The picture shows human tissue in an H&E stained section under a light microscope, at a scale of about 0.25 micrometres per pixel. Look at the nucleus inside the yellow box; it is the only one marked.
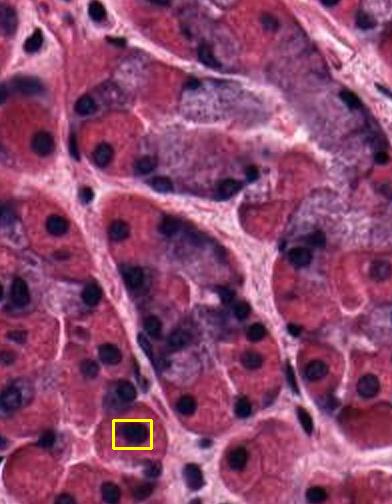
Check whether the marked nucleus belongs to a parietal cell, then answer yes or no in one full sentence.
Yes, a parietal cell is the owner of the marked nucleus.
